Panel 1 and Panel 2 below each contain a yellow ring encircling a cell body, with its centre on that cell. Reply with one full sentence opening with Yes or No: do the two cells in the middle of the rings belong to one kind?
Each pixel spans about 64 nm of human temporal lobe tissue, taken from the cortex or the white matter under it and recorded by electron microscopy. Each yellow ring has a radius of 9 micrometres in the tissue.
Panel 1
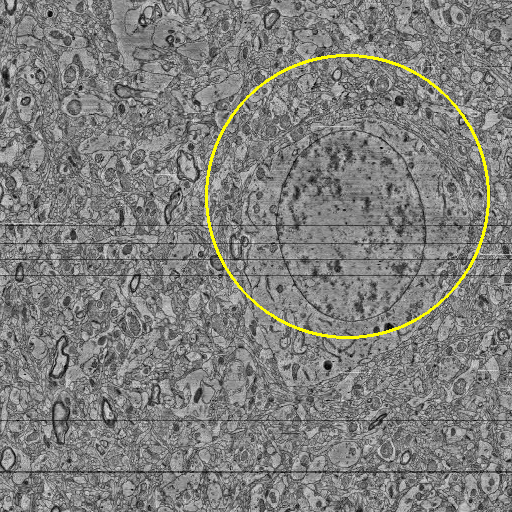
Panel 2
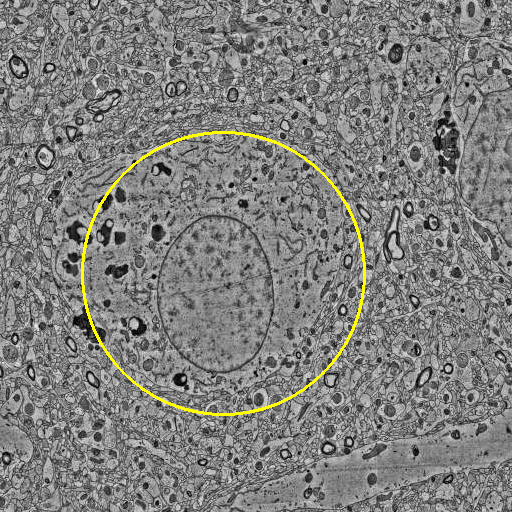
Yes, the cells at the middle of the Panel 1 ring and the Panel 2 ring are of one kind.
